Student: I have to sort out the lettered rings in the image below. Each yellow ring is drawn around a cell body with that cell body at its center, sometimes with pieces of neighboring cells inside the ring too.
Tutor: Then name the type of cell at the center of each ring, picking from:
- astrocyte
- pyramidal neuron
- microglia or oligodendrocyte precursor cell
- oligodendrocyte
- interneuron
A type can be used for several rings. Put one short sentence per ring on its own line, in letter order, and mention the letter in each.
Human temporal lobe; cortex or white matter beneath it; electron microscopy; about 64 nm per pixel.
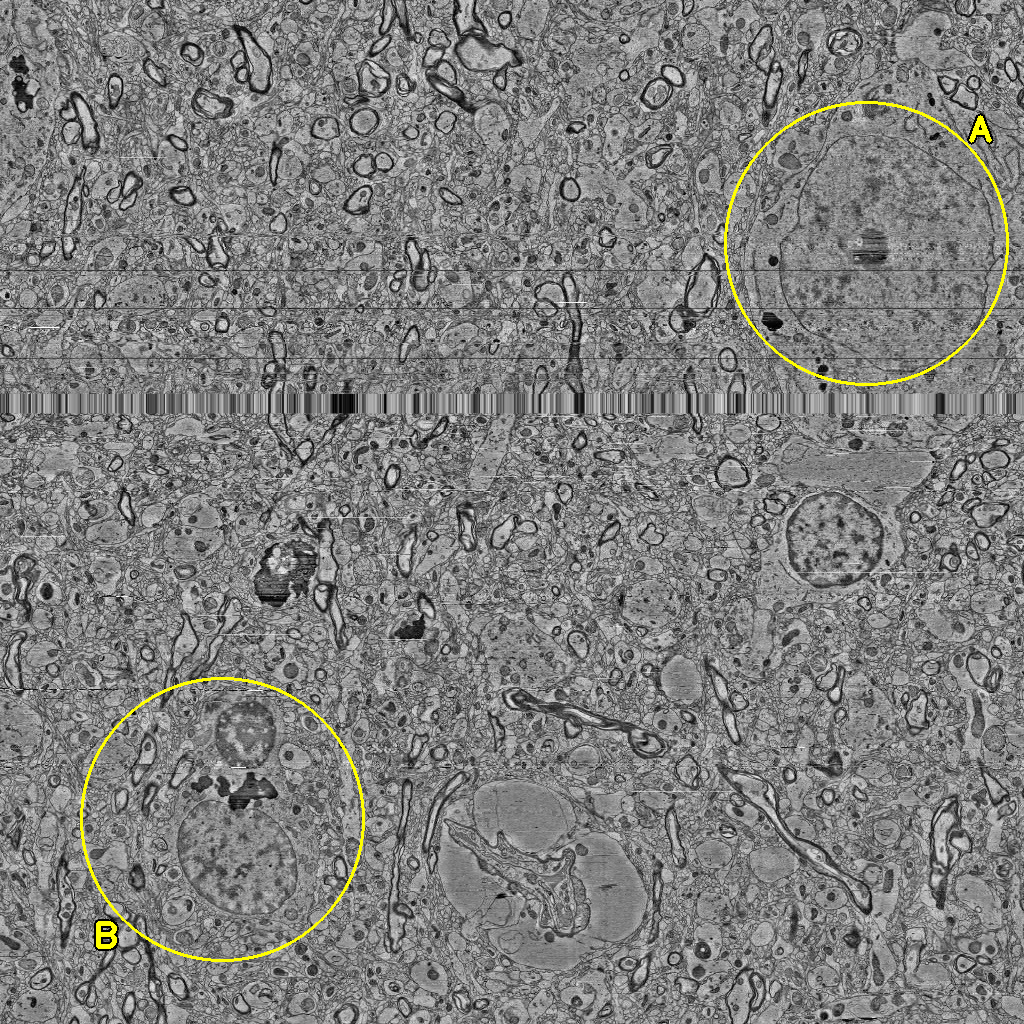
Inside ring A, at its center, is a pyramidal neuron.
Inside ring B, at its center, is an oligodendrocyte.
